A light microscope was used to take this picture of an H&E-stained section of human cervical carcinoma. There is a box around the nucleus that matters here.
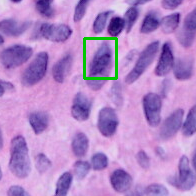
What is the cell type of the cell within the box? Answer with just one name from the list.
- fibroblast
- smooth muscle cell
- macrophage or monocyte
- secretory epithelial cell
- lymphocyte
fibroblast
